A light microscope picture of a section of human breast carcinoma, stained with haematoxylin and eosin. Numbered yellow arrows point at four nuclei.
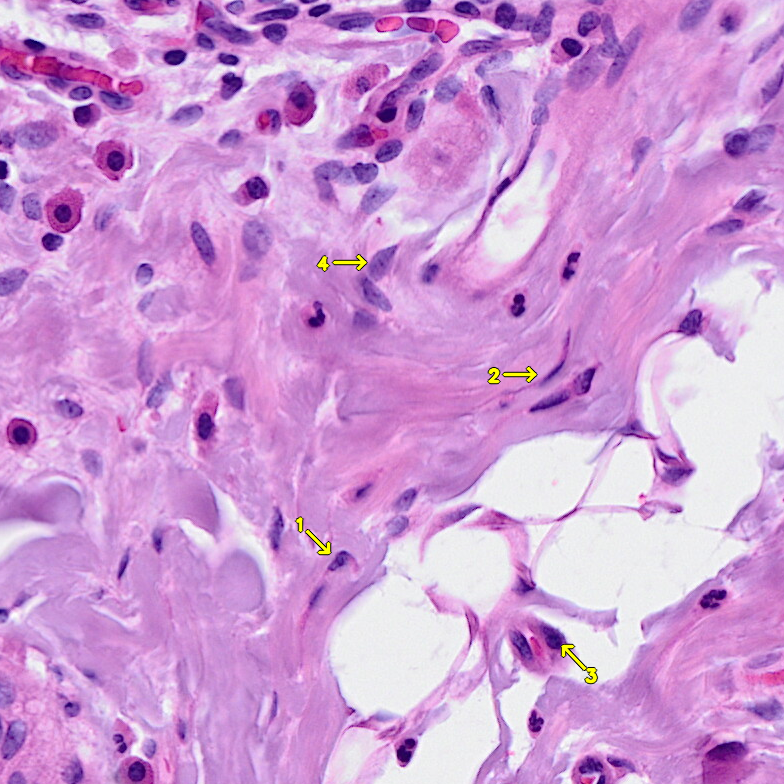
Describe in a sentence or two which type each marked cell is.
Cell 1 is a fibroblast, cell 2 is a fibroblast, cell 3 is an endothelial cell and cell 4 is a fibroblast.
